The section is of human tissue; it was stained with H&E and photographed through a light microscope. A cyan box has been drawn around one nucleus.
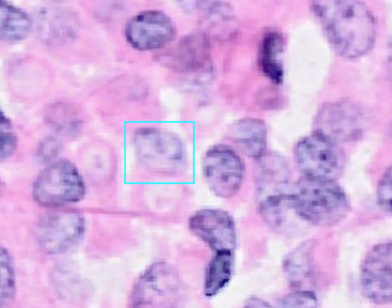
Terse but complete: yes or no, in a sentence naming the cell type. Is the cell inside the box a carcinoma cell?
Yes, the cell inside the box is correctly named as a carcinoma cell.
